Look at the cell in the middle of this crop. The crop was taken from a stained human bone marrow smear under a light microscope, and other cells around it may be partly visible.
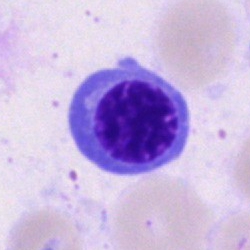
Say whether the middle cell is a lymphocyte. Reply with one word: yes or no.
no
